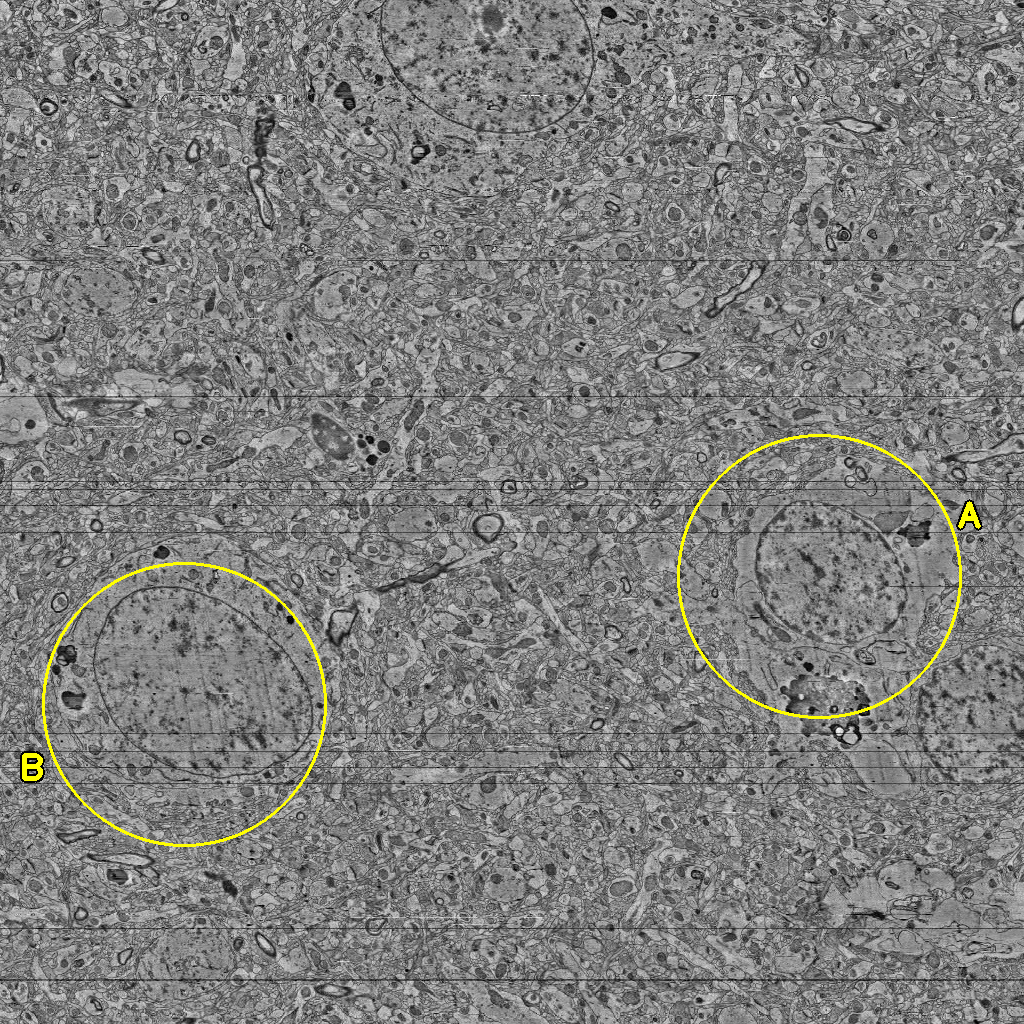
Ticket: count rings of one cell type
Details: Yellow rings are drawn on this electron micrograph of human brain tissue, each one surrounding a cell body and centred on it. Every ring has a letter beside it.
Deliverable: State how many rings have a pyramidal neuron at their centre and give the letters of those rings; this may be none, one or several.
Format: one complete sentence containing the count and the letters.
Of the rings in the micrograph, a single one is centred on a pyramidal neuron, and it shows B.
